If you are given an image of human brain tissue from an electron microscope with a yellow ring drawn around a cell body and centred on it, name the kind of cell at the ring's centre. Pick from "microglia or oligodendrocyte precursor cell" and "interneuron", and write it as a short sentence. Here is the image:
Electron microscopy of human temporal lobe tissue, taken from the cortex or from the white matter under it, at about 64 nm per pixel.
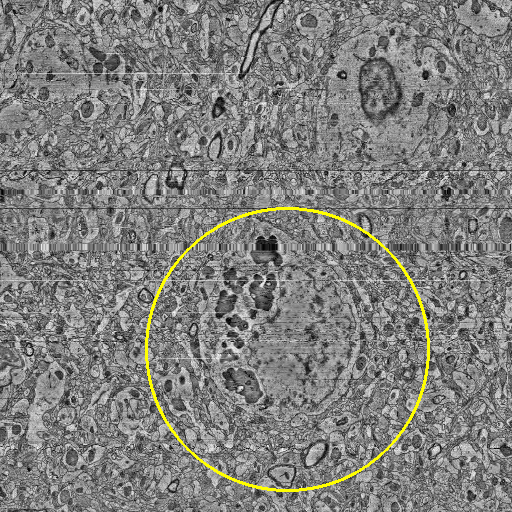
The cell at the ring's centre is an interneuron.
